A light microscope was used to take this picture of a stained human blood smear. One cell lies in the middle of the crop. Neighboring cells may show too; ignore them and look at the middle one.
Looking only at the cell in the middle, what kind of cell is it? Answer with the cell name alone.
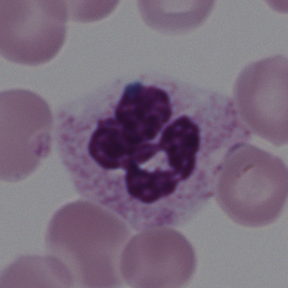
neutrophil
